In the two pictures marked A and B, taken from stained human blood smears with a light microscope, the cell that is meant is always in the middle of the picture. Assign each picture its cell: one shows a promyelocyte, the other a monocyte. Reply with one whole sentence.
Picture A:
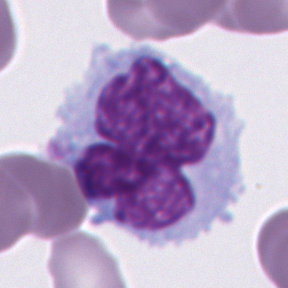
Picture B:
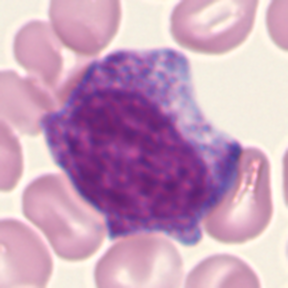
The cell in picture A is a monocyte, and the one in picture B is a promyelocyte.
